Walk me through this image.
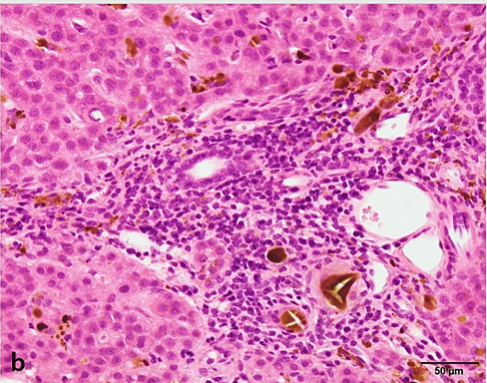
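This liver section shows a portal region crowded with lymphocytes, small cells with round, dark purple nuclei and little cytoplasm, gathered around several thin-walled vessel and duct spaces. On either side lie plates of hepatocytes, large polygonal cells with pink cytoplasm and round central nuclei. Golden-brown deposits of varying size are scattered among the hepatocytes, in the sinusoids and within the portal tissue, some forming large refractile globules.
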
